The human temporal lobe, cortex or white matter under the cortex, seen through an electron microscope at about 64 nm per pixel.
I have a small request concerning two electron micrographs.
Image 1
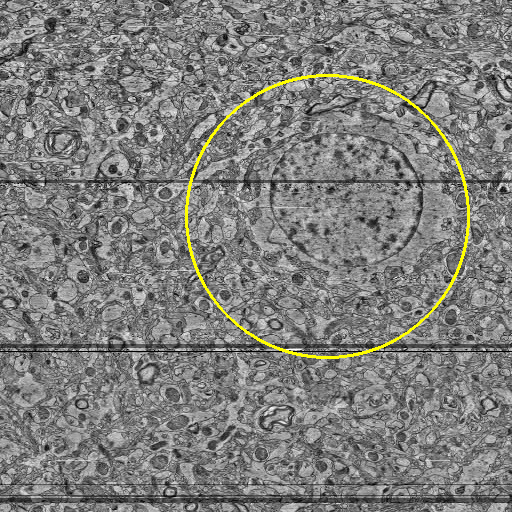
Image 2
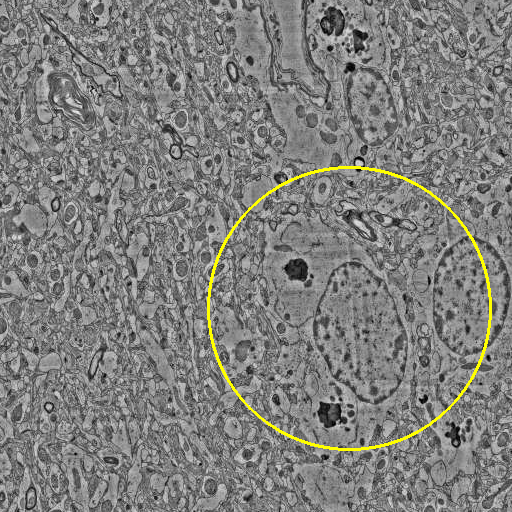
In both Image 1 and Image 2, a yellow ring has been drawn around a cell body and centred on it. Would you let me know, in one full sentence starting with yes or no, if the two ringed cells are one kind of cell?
Yes, the cells ringed in Image 1 and Image 2 are one kind of cell.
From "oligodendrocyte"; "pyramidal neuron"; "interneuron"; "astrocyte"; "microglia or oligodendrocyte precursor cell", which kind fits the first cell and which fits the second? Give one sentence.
Each one of the two ringed cells is an astrocyte.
